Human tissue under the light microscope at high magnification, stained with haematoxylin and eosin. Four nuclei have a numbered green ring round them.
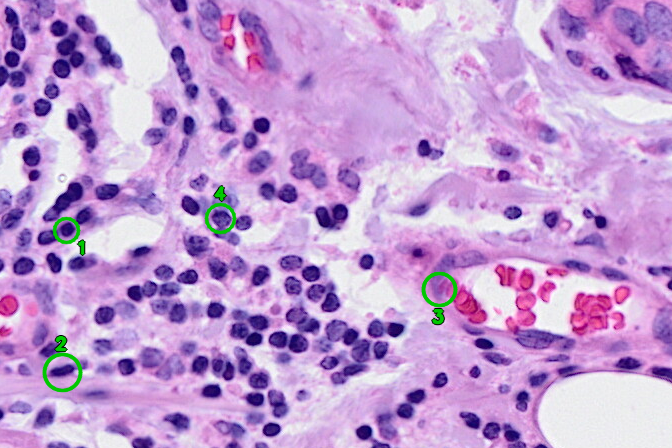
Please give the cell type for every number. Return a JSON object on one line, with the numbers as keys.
{"1": "lymphocyte", "2": "lymphocyte", "3": "endothelial cell", "4": "lymphocyte"}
